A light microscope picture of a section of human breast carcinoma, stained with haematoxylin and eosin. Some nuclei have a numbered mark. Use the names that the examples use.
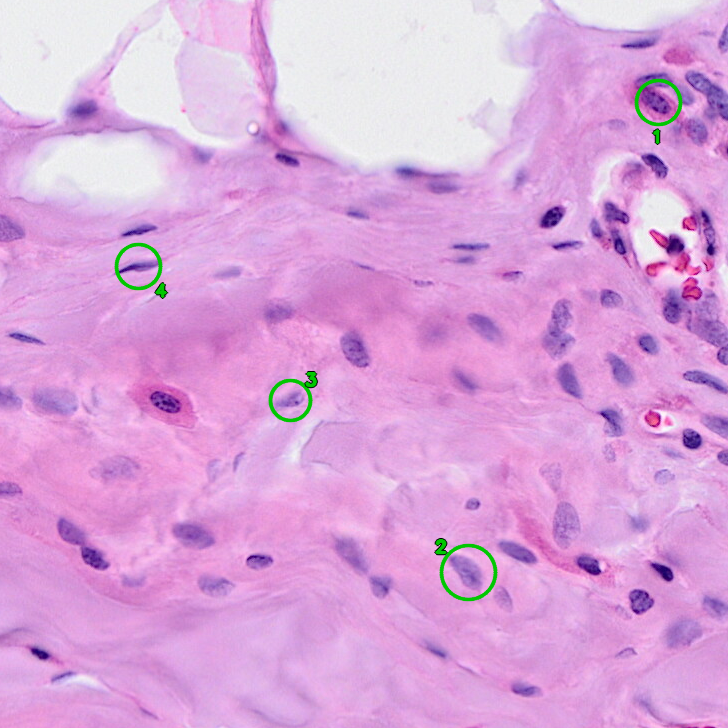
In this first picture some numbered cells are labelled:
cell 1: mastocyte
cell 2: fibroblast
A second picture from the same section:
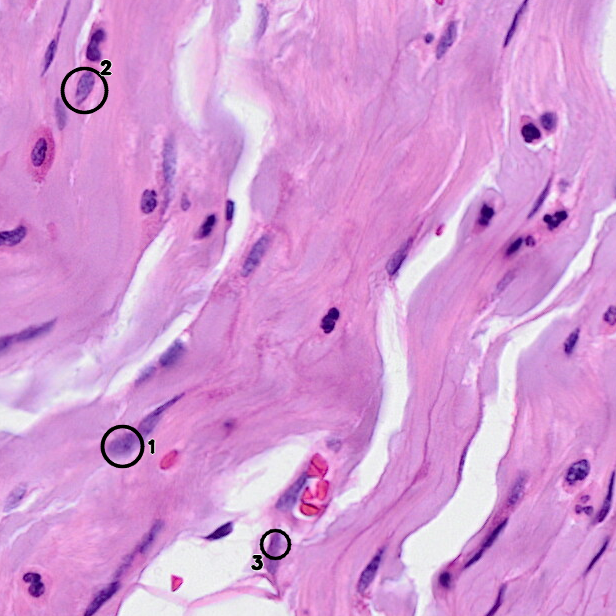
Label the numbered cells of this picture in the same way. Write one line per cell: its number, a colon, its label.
1: fibroblast
2: mastocyte
3: fibroblast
